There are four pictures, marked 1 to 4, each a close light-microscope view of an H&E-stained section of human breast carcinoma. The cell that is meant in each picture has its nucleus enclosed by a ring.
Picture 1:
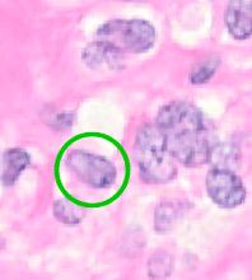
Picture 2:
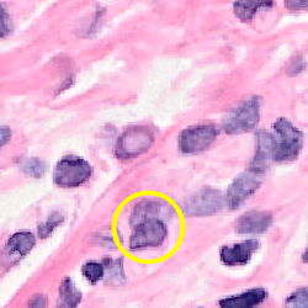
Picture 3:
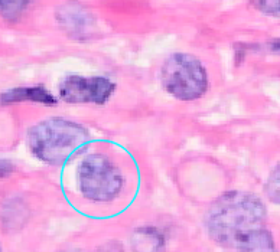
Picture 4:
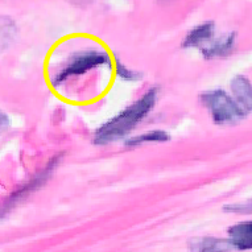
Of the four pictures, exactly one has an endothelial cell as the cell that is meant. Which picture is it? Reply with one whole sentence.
Picture 4 shows the endothelial cell.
